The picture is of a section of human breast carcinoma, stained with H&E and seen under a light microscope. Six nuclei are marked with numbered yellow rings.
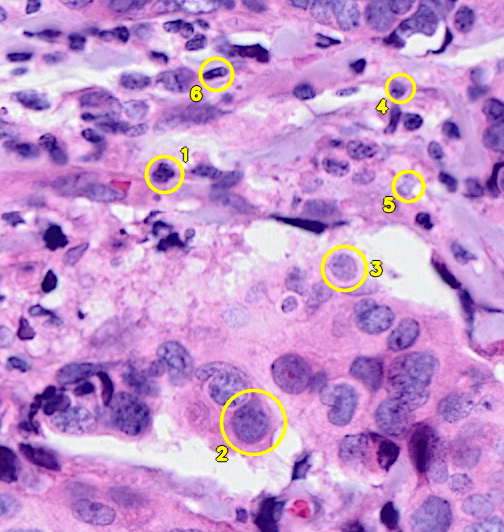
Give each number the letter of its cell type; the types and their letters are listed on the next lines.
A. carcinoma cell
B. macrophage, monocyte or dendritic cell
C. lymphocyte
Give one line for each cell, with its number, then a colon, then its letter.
1: C
2: A
3: A
4: C
5: B
6: C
